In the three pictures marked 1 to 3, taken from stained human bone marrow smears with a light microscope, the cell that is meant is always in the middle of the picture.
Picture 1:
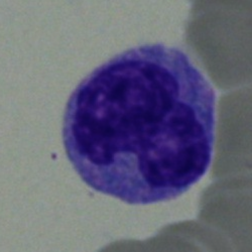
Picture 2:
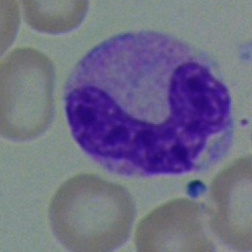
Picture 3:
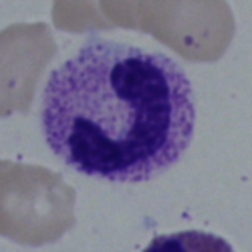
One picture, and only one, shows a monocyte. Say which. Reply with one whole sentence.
It is picture 1 that shows the monocyte.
